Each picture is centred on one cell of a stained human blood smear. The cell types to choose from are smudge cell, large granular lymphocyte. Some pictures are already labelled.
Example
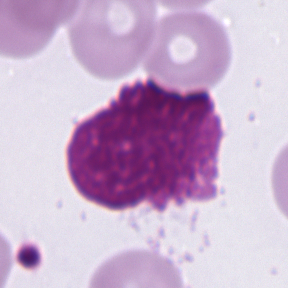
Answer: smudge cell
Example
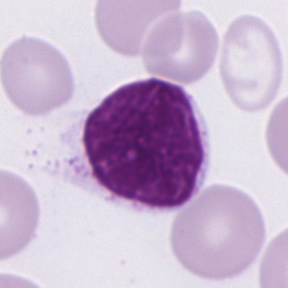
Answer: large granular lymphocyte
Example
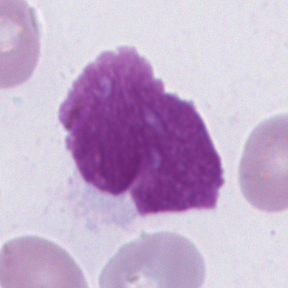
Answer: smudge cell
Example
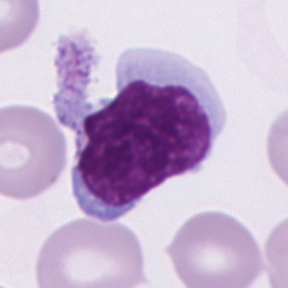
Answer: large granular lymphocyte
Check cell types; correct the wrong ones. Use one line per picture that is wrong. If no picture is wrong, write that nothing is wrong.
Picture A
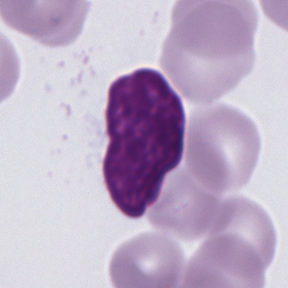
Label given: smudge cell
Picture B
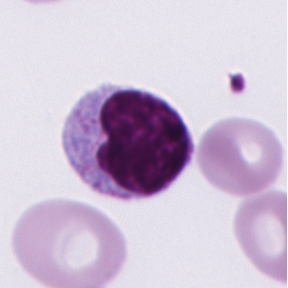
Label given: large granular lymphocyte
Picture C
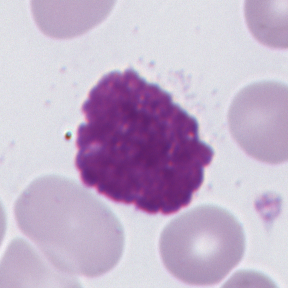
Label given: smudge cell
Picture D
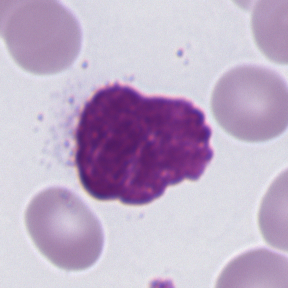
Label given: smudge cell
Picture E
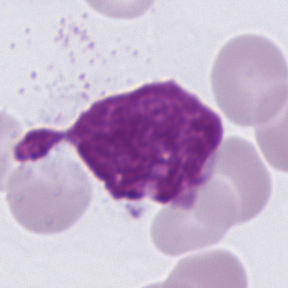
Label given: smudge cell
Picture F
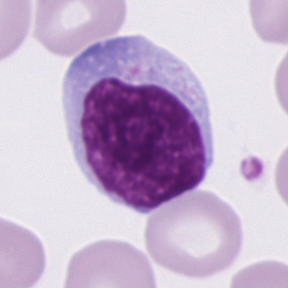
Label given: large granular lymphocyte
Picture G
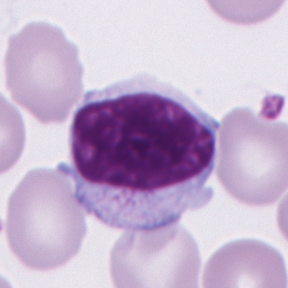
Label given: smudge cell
G: change smudge cell to large granular lymphocyte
